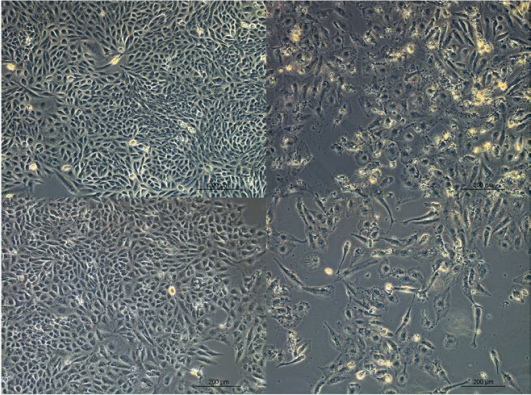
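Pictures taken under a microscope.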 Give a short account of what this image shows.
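In the two left fields, polygonal cells lie close together in a nearly confluent, cobblestone-like sheet with few gaps. The upper right field is sparser and holds many rounded, bright refractile cells among flattened ones. The lower right field shows scattered, elongated cells with thin processes and wide empty spaces between them.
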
